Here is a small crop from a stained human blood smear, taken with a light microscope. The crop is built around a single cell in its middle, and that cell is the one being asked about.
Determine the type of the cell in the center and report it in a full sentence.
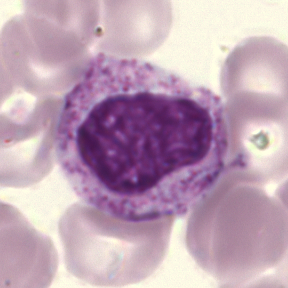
The centered cell in this crop is a metamyelocyte.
